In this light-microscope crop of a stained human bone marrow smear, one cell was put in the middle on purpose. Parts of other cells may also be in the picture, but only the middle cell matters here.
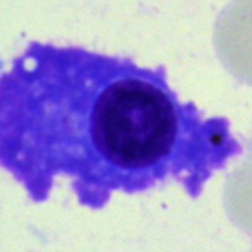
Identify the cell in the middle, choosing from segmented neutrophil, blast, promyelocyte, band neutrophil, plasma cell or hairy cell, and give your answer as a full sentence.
The cell at the middle of the frame should be recorded as a plasma cell.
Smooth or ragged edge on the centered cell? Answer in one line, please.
The cell membrane follows an uneven contour, either ragged or bearing projections.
